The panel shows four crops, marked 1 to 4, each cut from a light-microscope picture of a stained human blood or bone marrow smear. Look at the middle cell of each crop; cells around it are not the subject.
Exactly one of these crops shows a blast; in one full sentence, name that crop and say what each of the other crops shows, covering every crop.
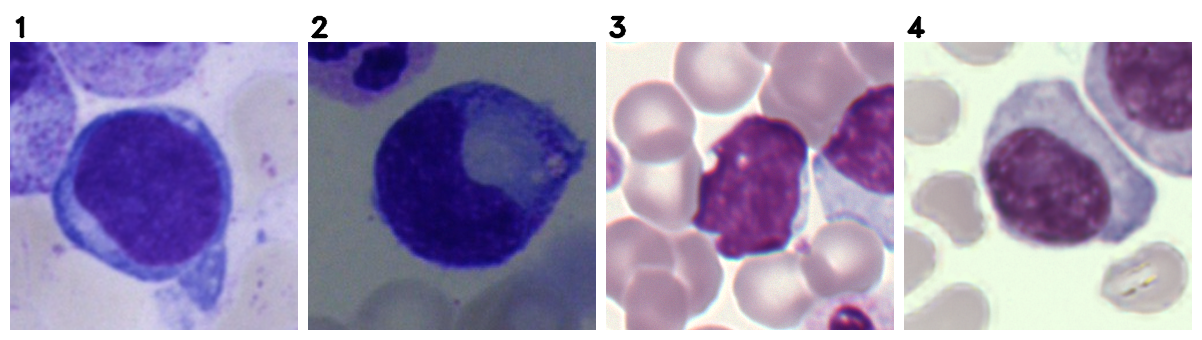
In this group, crop 1 shows a blast, while crop 2 is a metamyelocyte, crop 3 is a lymphocyte and crop 4 is a plasma cell.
